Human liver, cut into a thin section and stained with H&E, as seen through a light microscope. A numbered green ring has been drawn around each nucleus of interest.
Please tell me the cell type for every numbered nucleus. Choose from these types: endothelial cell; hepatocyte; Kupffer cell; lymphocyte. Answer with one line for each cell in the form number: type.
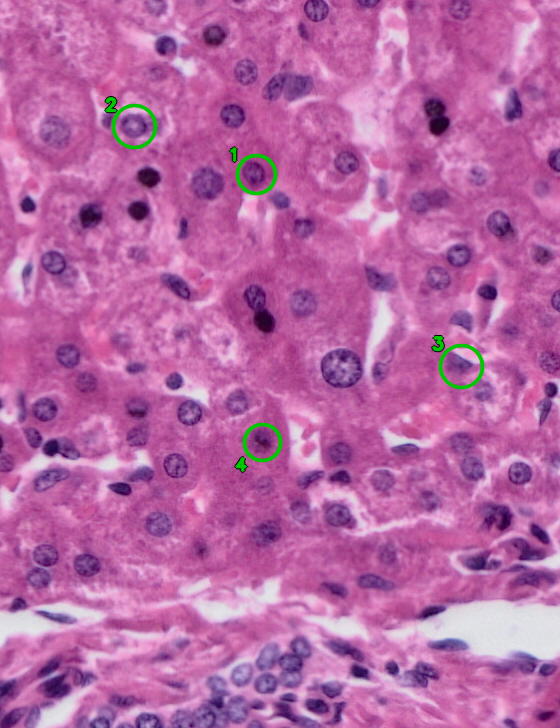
1: hepatocyte
2: hepatocyte
3: endothelial cell
4: hepatocyte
